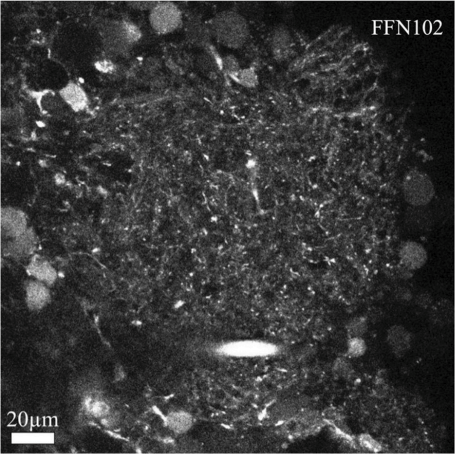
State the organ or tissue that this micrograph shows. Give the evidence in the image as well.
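A roughly round field of fine punctate and fibrous labeling fills the centre. Scattered round labeled cell bodies sit around the edge of this field. On this evidence: glomerular and juxtaglomerular neuropil.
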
